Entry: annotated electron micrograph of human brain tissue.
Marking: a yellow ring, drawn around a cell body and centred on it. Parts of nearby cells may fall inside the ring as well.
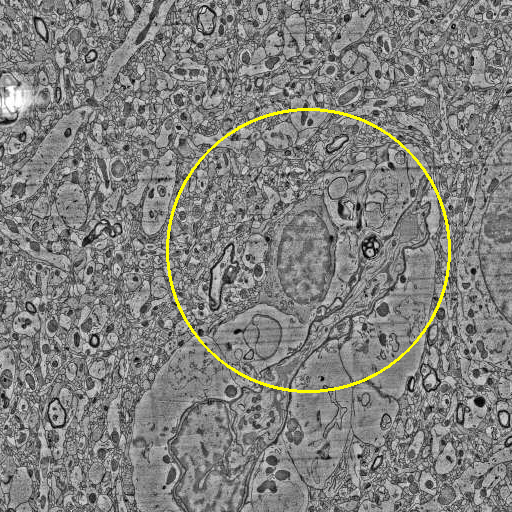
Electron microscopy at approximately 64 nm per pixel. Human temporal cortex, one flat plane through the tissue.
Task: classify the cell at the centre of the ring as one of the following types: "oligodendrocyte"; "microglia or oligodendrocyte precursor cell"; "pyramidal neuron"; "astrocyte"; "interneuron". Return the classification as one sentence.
The marked cell is classified as an oligodendrocyte.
